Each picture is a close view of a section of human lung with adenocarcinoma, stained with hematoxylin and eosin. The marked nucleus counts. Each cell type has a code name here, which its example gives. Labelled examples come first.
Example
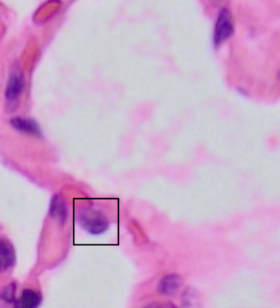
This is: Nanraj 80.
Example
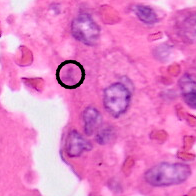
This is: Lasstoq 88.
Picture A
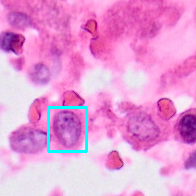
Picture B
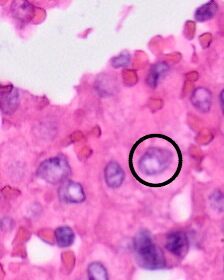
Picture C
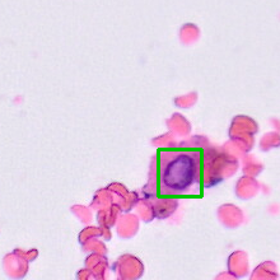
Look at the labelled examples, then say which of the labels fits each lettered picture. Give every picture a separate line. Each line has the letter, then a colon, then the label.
A: Lasstoq 88.
B: Lasstoq 88.
C: Lasstoq 88.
